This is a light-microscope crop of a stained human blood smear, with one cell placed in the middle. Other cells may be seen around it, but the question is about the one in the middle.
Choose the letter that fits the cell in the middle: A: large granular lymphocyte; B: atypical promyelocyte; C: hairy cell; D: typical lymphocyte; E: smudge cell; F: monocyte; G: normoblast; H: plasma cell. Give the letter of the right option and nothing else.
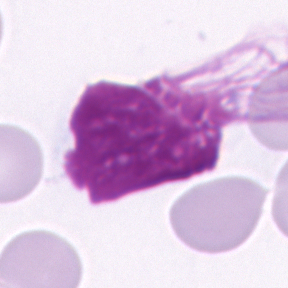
E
